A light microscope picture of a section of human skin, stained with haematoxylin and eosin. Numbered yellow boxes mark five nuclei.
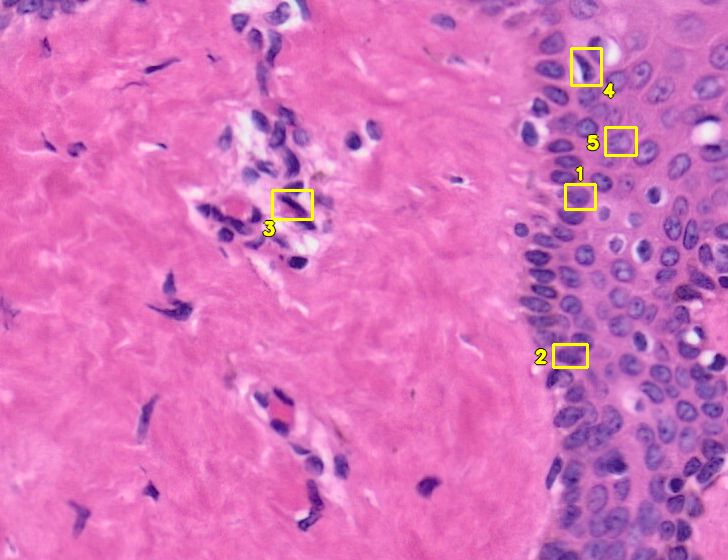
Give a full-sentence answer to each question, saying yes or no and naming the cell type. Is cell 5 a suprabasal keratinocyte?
Yes, cell 5 is a suprabasal keratinocyte in this tissue section.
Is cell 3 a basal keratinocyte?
No, an endothelial cell, not a basal keratinocyte, is the cell with number 3.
